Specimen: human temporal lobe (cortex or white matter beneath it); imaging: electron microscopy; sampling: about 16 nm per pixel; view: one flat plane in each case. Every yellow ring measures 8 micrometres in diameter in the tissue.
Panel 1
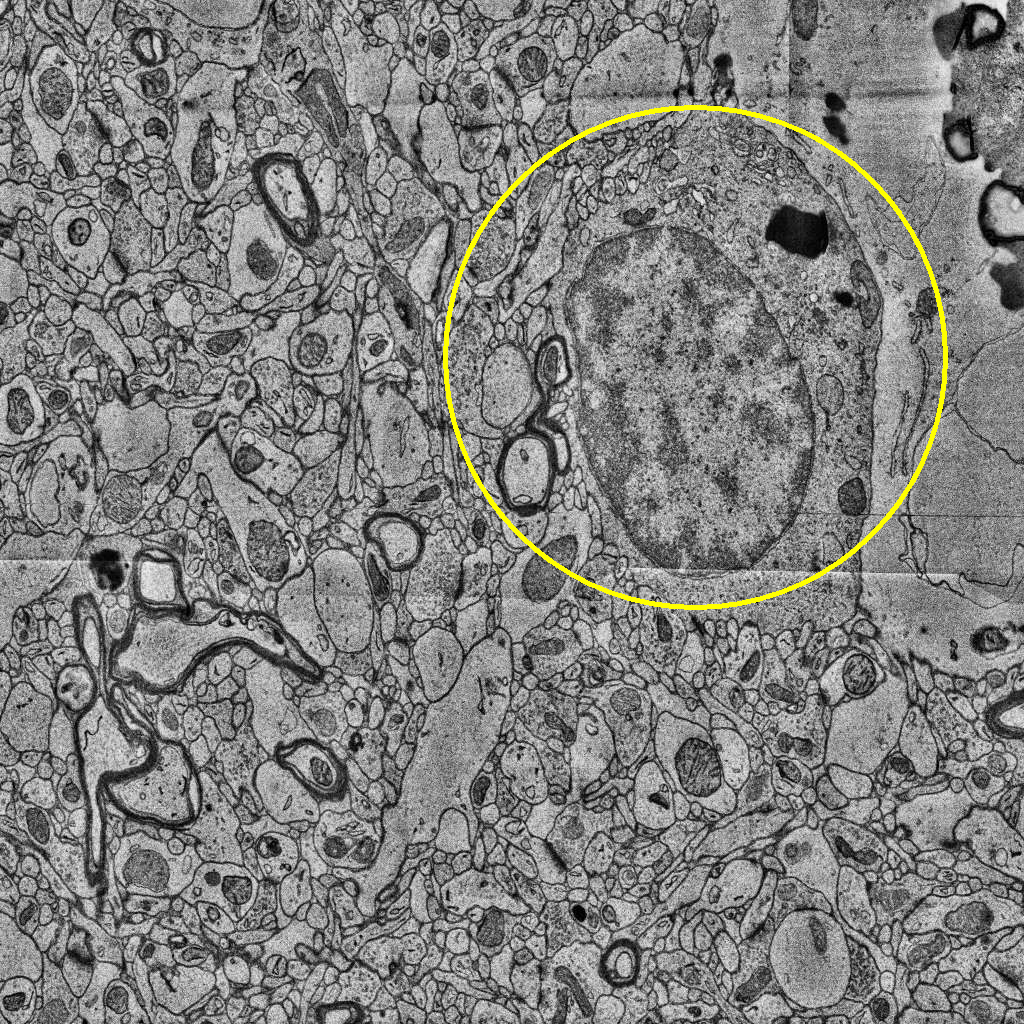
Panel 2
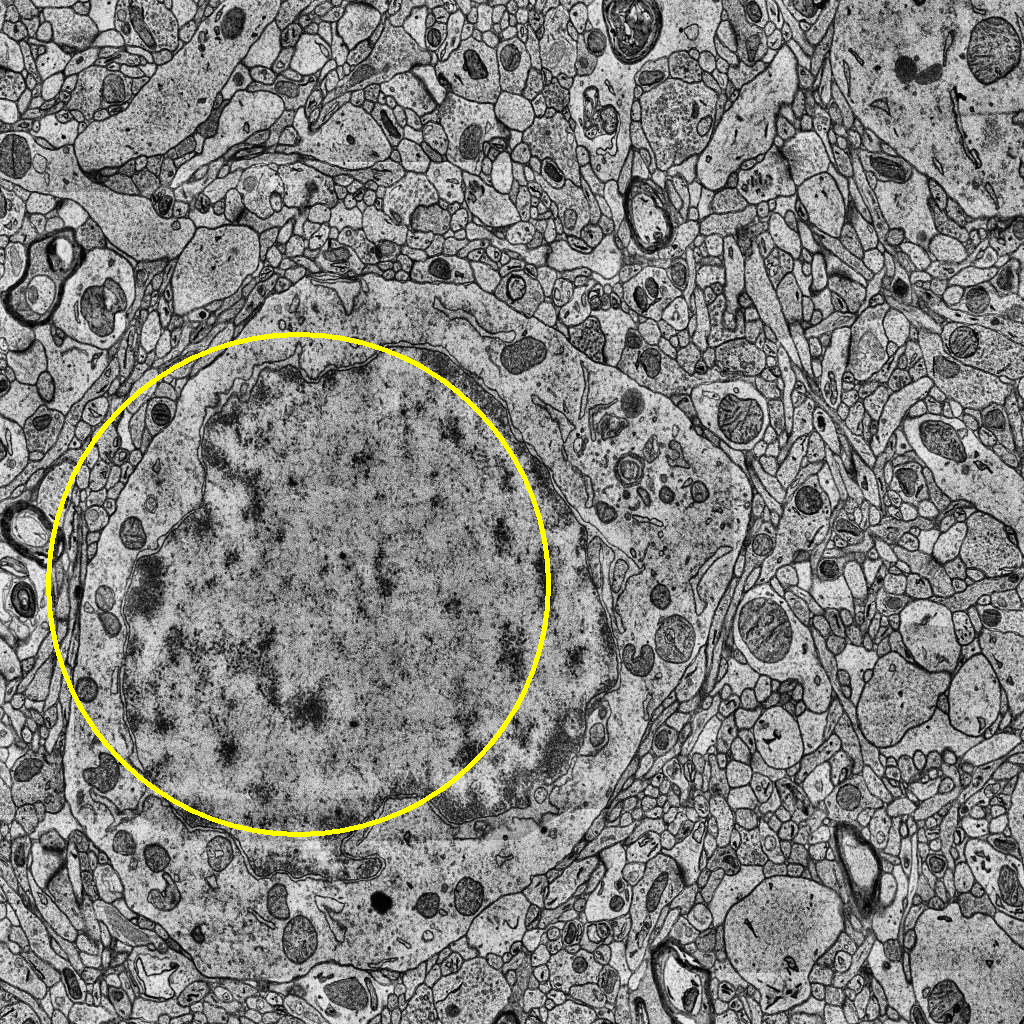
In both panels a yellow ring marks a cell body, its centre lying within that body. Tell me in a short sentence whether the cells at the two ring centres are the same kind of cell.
No, they are two kinds of cell.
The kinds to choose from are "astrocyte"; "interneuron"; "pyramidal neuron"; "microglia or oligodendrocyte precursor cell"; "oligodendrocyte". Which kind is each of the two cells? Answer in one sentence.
The first picture's cell is an oligodendrocyte, and the second picture's cell is an interneuron.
